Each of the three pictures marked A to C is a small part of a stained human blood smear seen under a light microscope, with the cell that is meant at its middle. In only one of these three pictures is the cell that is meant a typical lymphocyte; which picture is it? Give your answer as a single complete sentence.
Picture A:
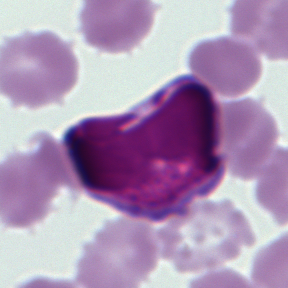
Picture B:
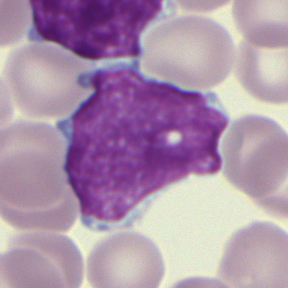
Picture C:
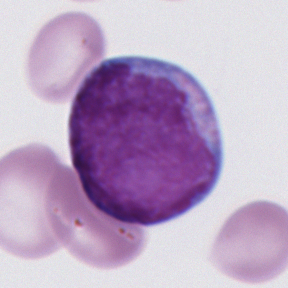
The cell in picture B is the typical lymphocyte.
